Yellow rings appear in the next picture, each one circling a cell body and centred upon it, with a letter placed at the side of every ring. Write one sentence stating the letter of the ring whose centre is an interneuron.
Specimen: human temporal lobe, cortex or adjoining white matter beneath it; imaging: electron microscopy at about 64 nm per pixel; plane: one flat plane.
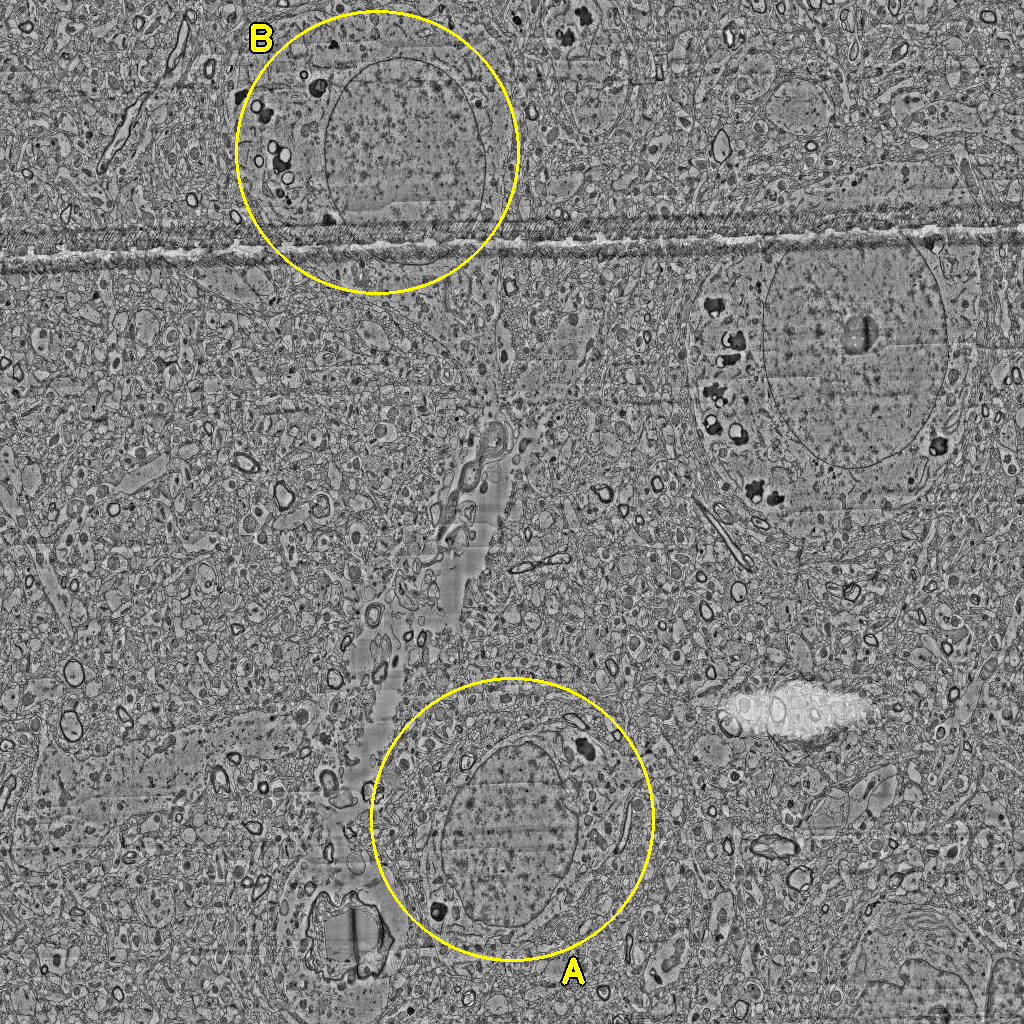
In the picture, the cell asked for lies at the centre of ring A.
